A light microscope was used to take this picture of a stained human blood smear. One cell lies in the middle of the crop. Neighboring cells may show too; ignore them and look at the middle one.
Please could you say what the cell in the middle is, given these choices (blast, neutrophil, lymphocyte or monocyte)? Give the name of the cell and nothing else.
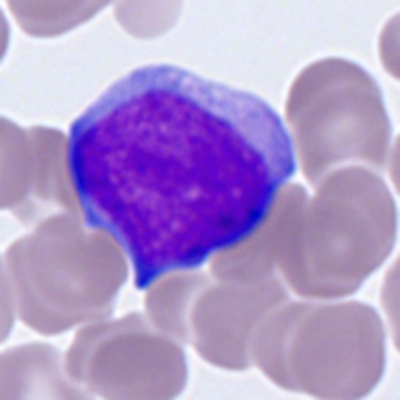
blast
